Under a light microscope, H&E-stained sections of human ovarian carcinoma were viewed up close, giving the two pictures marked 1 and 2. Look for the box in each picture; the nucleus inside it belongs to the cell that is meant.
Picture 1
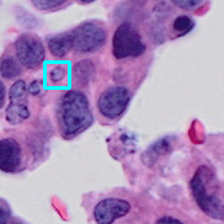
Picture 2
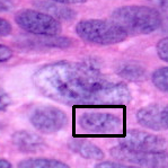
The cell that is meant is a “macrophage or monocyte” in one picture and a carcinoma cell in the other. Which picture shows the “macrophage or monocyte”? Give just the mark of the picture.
1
